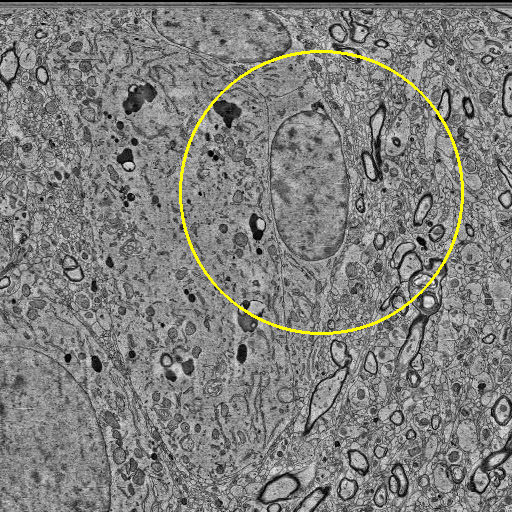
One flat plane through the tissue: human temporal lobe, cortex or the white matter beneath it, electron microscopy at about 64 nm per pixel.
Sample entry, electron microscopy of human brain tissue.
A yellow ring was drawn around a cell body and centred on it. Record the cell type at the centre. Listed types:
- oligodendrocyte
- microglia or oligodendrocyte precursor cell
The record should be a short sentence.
The cell at the ring's centre is a microglial cell or oligodendrocyte precursor cell.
